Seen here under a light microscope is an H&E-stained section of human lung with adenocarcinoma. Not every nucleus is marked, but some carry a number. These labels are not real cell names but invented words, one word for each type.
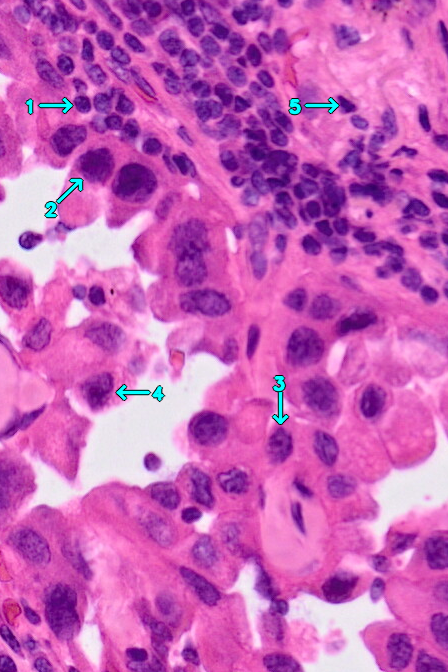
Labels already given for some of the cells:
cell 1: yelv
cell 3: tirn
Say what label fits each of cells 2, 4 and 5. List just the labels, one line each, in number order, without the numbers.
tirn
tirn
yelv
